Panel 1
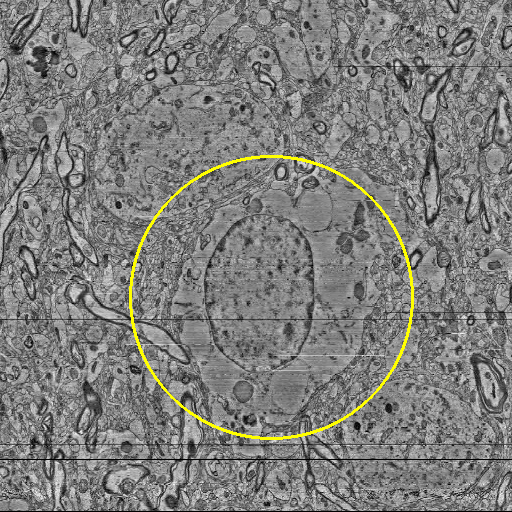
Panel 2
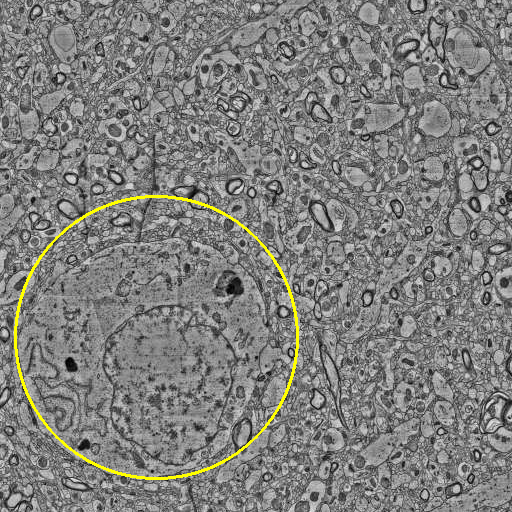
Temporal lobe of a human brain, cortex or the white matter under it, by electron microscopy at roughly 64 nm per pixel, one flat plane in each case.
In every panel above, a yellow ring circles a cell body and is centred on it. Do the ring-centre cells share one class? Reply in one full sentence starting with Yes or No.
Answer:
No, the two cells at the ring centres in the panels belong to two classes.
